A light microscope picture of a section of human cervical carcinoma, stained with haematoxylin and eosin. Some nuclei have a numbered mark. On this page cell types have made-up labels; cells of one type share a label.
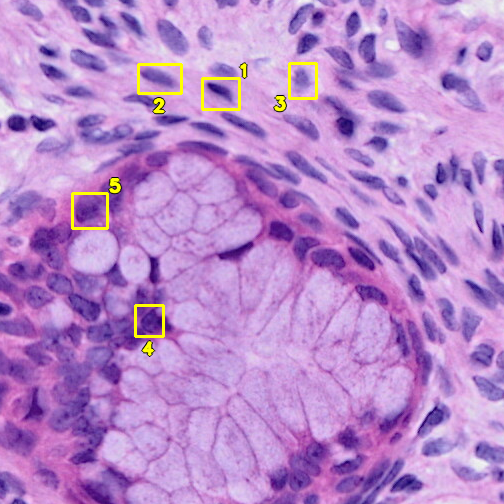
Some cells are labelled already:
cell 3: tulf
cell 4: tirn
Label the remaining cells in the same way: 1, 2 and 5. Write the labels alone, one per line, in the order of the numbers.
tulf
tulf
tirn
